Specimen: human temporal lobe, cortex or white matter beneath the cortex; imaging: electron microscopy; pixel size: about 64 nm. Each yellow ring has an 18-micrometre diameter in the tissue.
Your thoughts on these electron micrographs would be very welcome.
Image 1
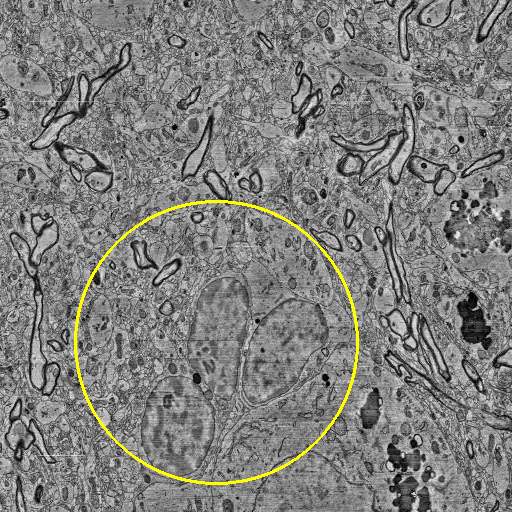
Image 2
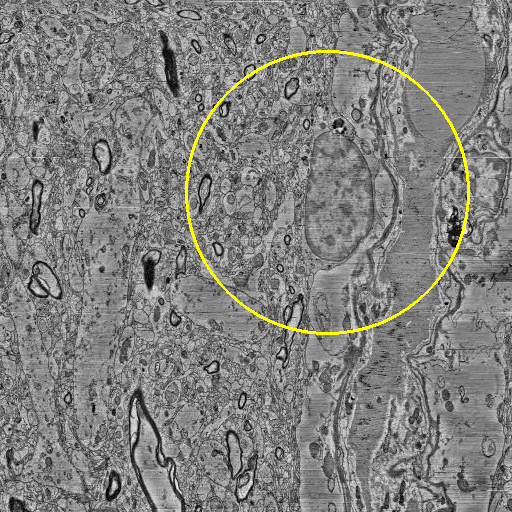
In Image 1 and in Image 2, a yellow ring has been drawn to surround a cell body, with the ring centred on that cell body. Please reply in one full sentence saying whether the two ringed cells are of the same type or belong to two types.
The ringed cells in Image 1 and Image 2 are of the same type.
